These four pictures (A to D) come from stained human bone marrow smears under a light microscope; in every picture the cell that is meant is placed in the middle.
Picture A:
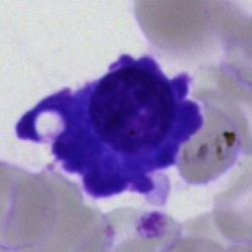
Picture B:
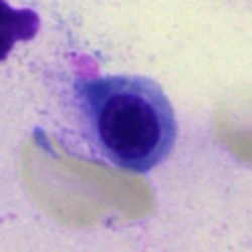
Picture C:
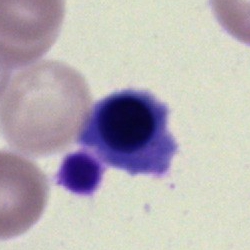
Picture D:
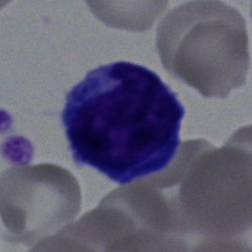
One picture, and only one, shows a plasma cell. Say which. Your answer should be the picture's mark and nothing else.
A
